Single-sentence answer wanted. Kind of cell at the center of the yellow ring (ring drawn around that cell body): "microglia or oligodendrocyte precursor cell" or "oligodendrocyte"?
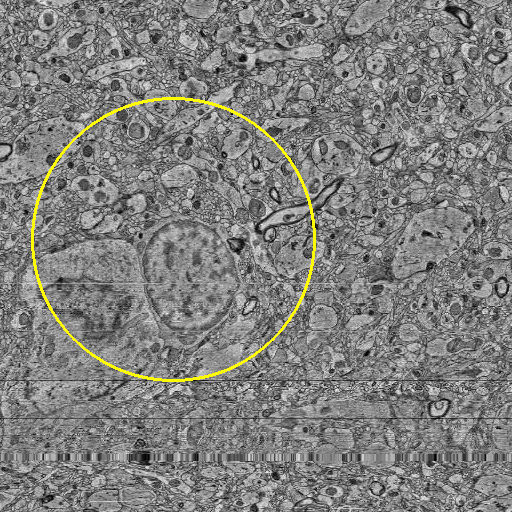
The cell centered in the ring is an oligodendrocyte.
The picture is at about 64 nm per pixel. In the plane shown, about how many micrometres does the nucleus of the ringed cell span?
The ringed cell's nucleus measures approximately 7 by 6 micrometres in this plane.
